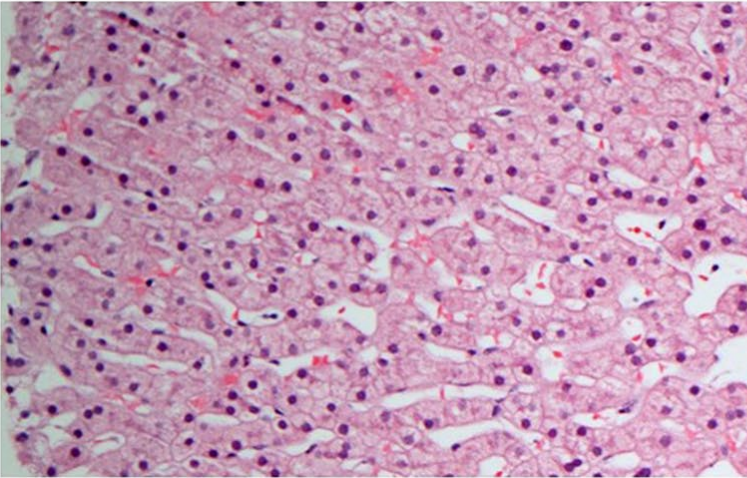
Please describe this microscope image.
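Liver tissue made of hepatocytes lying in plates one to two cells thick, separated by narrow clear channels. The cells are polygonal with pink, finely granular or slightly pale cytoplasm and a single round, dark purple nucleus set near the centre. Between the plates run sinusoidal spaces, some holding bright red blood cells, and small flattened dark nuclei along their walls likely belong to lining cells. No large clear vacuoles lie in the cells, and the plates keep a regular, roughly parallel arrangement. This is the ordinary appearance of liver parenchyma.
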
